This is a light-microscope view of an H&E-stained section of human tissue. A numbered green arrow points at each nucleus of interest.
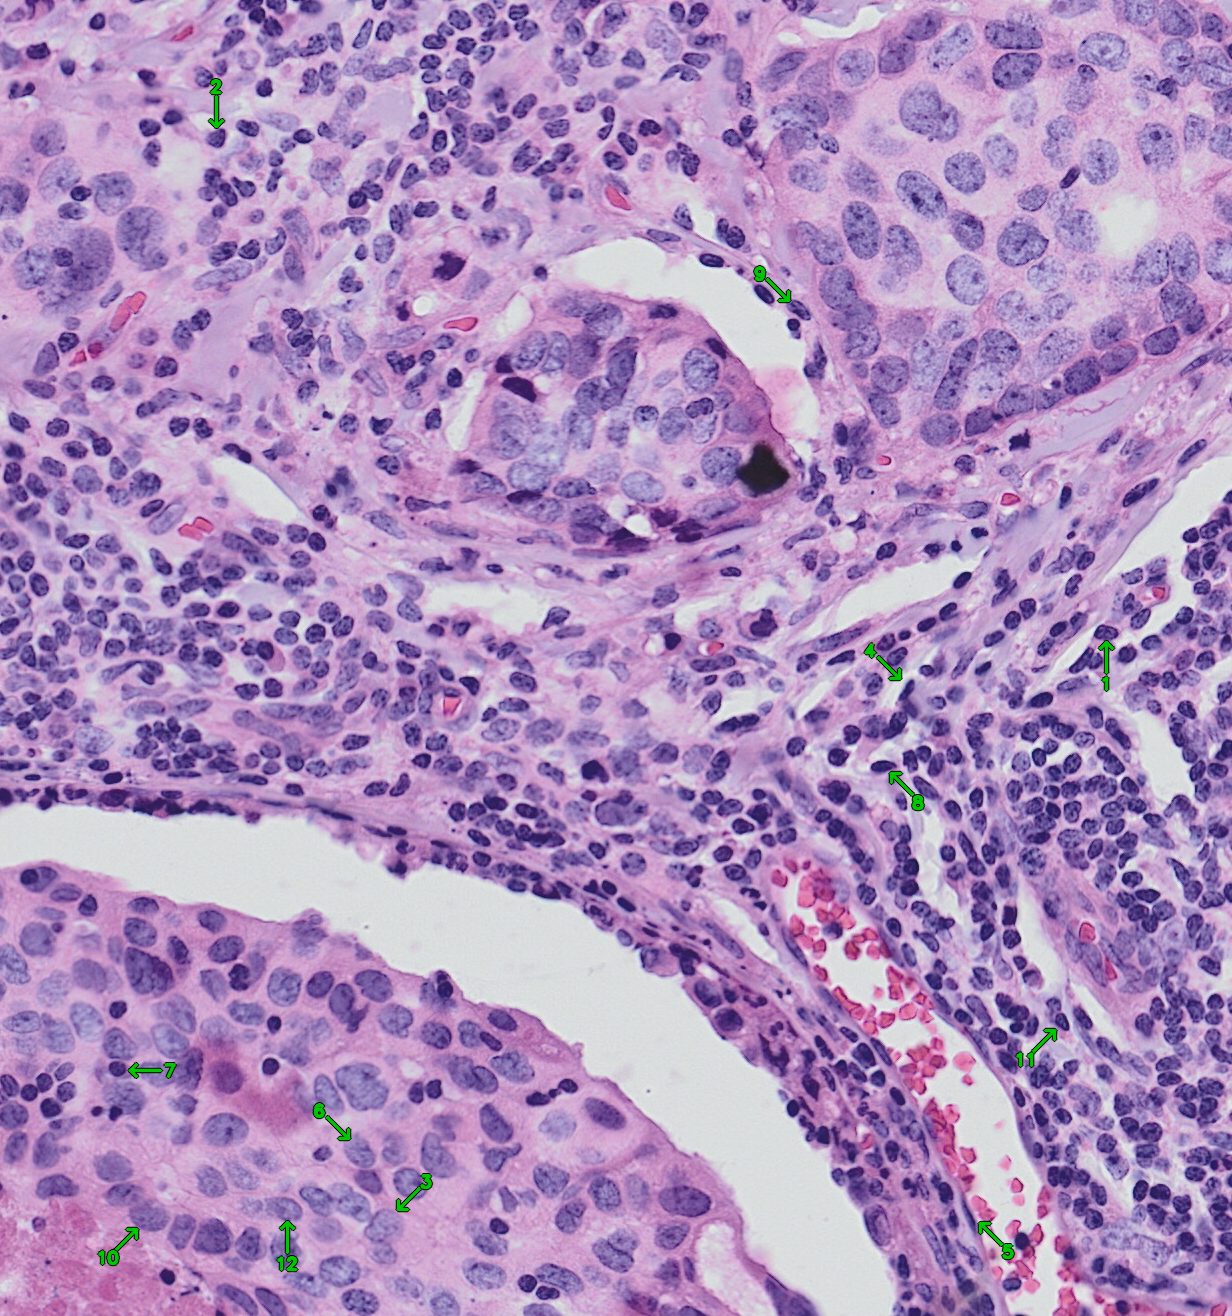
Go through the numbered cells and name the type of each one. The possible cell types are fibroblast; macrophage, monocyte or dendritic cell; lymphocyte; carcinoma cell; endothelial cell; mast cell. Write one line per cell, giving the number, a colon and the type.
1: lymphocyte
2: lymphocyte
3: carcinoma cell
4: lymphocyte
5: endothelial cell
6: carcinoma cell
7: lymphocyte
8: lymphocyte
9: lymphocyte
10: carcinoma cell
11: lymphocyte
12: carcinoma cell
